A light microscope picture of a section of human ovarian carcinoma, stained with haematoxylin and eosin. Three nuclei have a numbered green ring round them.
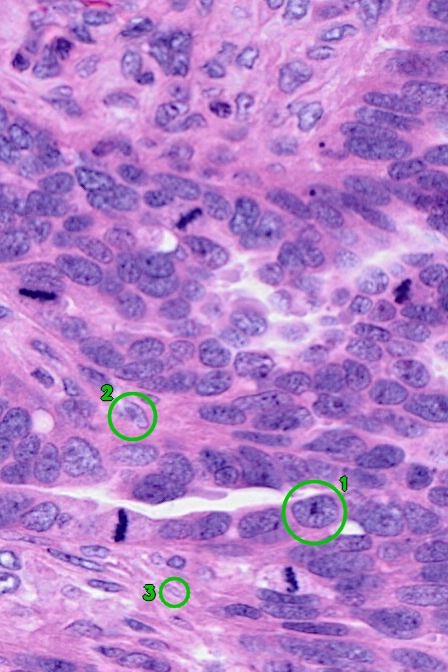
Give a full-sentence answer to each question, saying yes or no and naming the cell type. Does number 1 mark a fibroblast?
No, cell 1 is a carcinoma cell, not a fibroblast.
